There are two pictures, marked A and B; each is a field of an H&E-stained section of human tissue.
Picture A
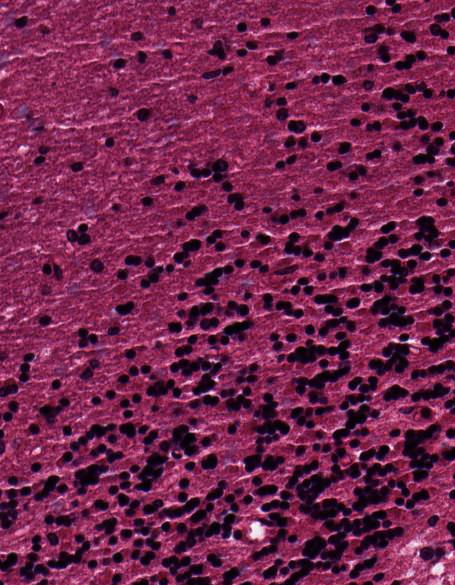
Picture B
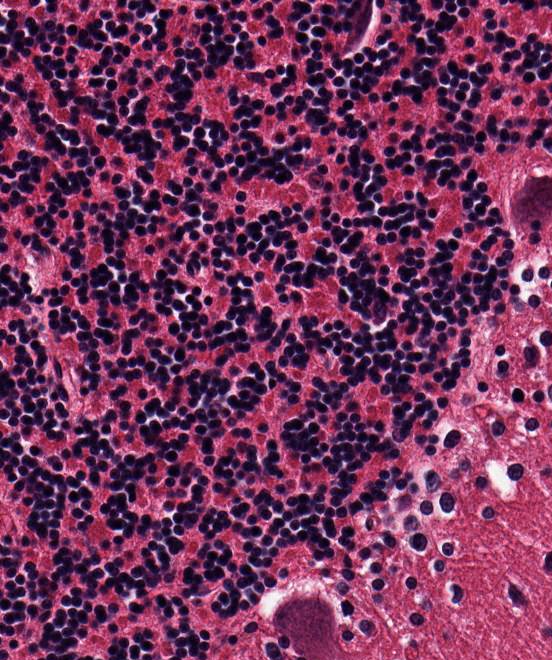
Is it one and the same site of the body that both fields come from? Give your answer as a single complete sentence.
Yes; both pictures come from the cerebellum.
